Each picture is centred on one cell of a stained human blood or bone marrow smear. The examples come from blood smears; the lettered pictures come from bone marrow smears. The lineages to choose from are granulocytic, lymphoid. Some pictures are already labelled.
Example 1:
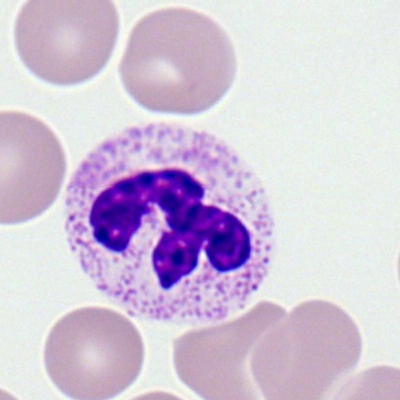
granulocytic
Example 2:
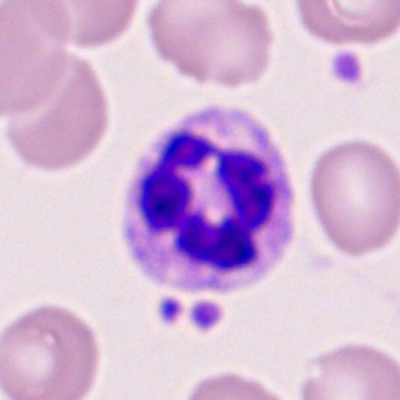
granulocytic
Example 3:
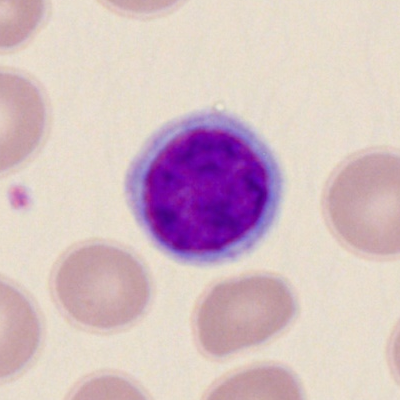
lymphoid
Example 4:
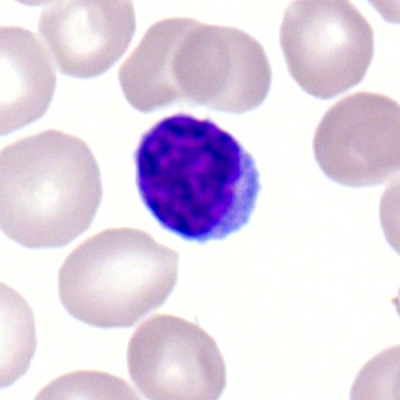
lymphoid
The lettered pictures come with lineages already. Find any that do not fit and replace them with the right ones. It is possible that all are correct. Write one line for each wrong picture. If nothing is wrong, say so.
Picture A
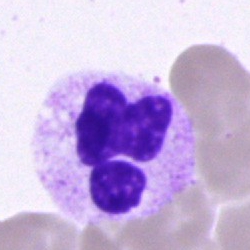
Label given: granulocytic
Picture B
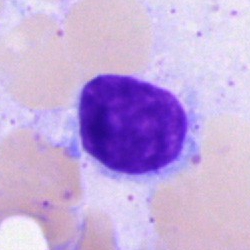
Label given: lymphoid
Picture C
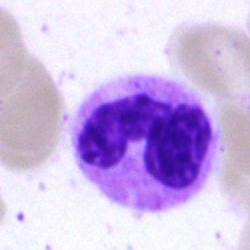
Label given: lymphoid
C: granulocytic, not lymphoid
